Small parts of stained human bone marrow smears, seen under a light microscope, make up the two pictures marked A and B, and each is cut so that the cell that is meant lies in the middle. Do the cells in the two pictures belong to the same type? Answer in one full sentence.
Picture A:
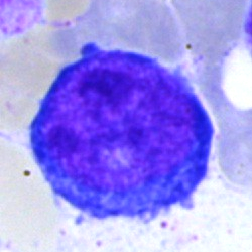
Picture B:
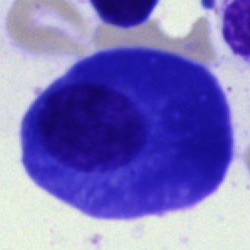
No. Picture A shows a proerythroblast, but picture B shows a plasma cell.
